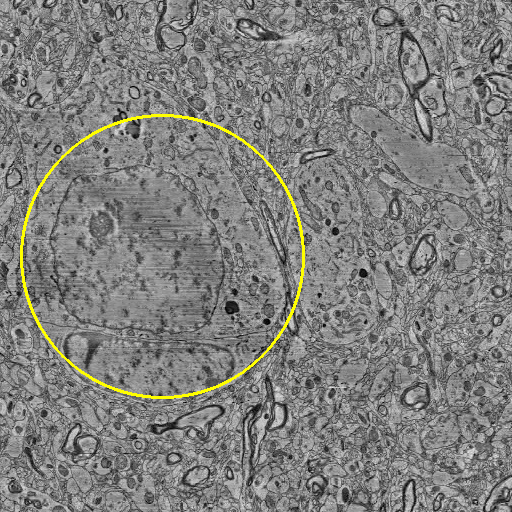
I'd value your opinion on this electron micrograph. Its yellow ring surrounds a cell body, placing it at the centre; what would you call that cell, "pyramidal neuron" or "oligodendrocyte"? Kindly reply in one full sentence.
It is a pyramidal neuron that sits centred within the yellow ring in this micrograph.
